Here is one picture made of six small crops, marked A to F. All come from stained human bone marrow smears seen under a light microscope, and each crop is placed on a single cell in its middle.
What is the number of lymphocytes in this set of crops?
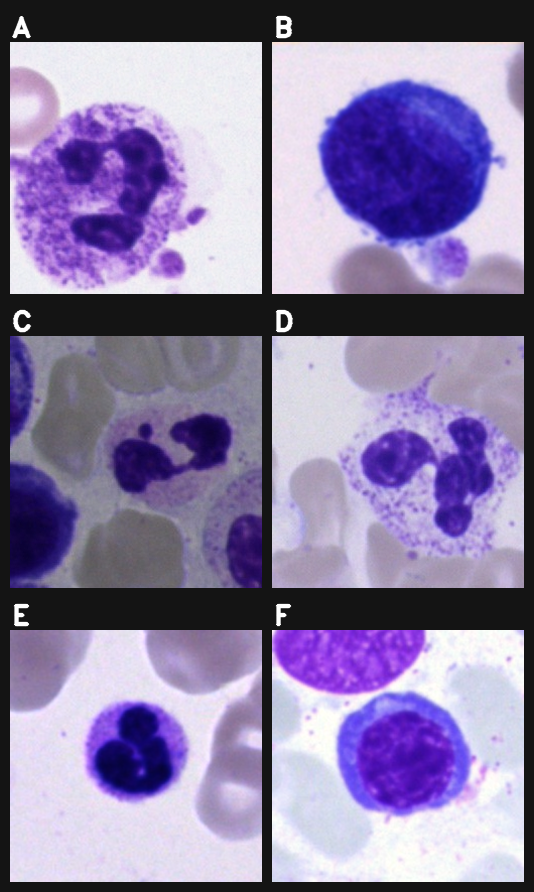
0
